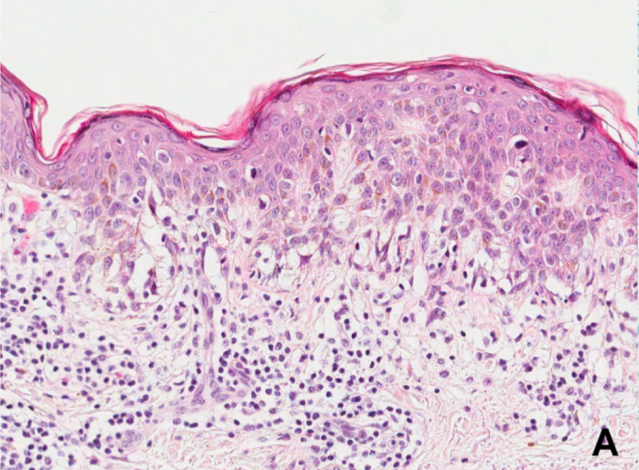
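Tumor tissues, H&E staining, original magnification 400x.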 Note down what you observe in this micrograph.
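Epidermis with melanoma in situ shows melanocytes scattered singly along the basal layer, with a few cells lying higher up among the keratinocytes. These cells have pale or clear cytoplasm and darker nuclei, standing out from the pink keratinocytes with their round nuclei. The surface carries a thin, bright pink cornified layer. Fine brown pigment is present in places in the lower epidermis. Beneath the epidermis the dermis holds a dense band of small, dark, round inflammatory cell nuclei amid loose pale stroma with small vessels.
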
